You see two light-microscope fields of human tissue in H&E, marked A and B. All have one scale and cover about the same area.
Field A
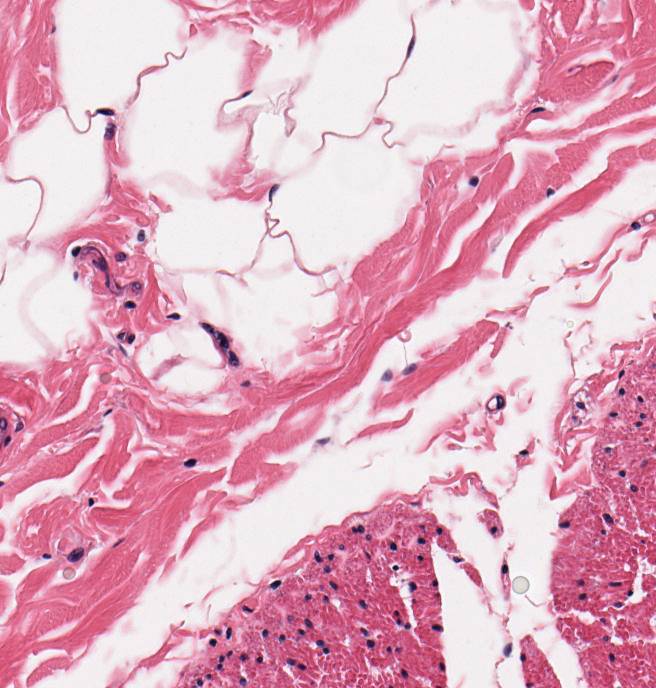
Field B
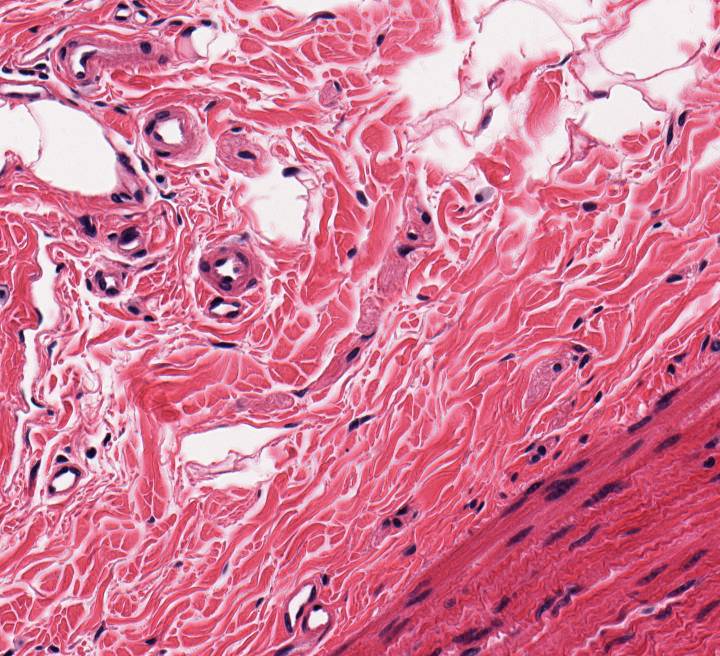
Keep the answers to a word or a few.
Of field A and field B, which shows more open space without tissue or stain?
A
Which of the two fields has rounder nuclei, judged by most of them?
A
